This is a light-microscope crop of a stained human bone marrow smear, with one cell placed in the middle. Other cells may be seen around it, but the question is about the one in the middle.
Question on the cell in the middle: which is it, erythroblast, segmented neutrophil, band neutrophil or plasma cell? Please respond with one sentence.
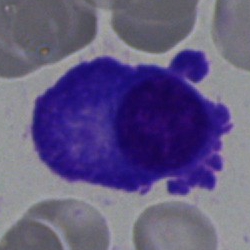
Occupying the centre of the crop is a plasma cell.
